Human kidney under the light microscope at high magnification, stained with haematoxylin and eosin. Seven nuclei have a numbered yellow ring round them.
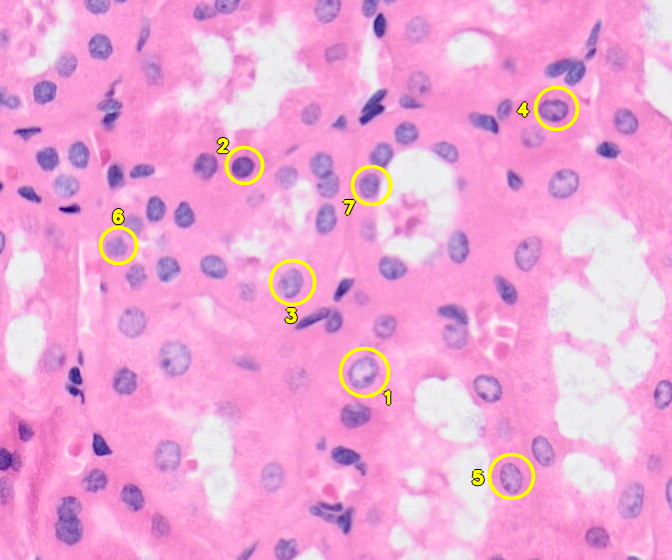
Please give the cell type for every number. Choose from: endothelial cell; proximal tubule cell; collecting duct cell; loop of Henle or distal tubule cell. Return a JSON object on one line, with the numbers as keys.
{"1": "proximal tubule cell", "2": "proximal tubule cell", "3": "loop of Henle or distal tubule cell", "4": "proximal tubule cell", "5": "proximal tubule cell", "6": "loop of Henle or distal tubule cell", "7": "loop of Henle or distal tubule cell"}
